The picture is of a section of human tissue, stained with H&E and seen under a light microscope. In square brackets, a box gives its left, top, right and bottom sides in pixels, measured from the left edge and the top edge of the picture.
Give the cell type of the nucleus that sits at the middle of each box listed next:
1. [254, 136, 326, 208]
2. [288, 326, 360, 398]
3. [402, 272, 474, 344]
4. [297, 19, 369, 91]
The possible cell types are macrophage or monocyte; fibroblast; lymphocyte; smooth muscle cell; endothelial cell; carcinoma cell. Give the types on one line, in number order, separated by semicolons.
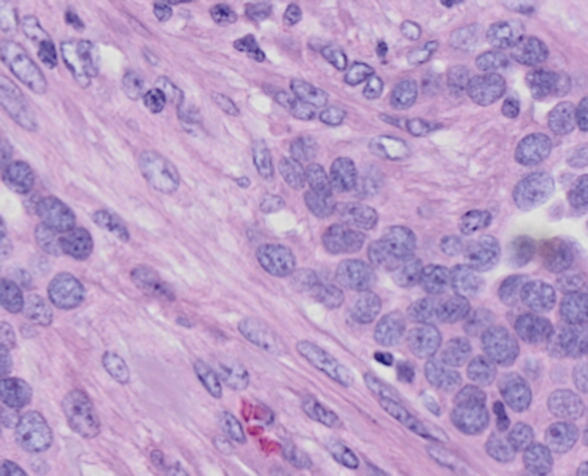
carcinoma cell; fibroblast; carcinoma cell; fibroblast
